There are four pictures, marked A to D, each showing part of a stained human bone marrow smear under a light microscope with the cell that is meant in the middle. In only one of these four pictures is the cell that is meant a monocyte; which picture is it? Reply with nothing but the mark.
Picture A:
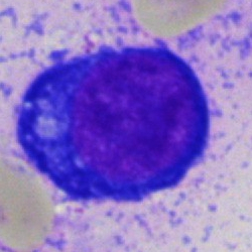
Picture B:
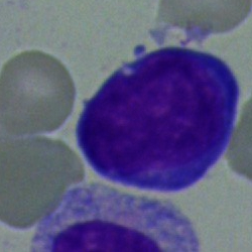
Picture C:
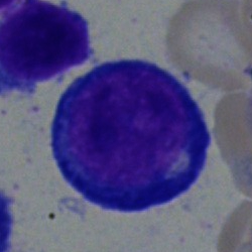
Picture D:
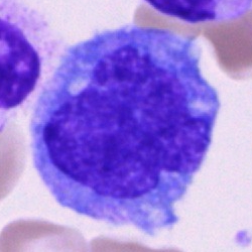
D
